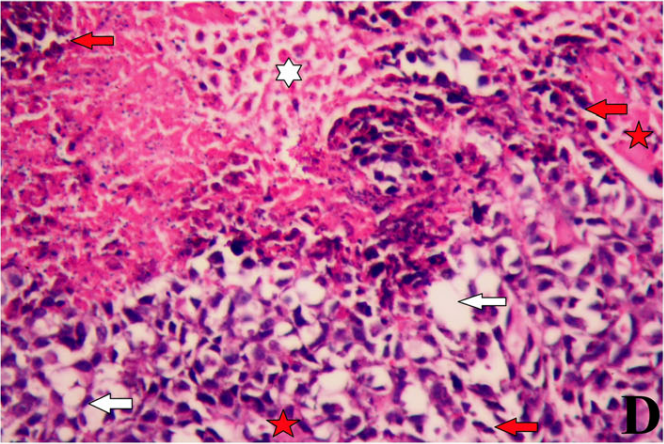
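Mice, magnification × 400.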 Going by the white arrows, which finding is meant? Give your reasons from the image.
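Fat vacuoles. Clear, unstained round spaces between cells.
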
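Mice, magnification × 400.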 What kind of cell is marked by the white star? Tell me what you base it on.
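A pink, poorly structured area with few intact nuclei.
Necrotic cells.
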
